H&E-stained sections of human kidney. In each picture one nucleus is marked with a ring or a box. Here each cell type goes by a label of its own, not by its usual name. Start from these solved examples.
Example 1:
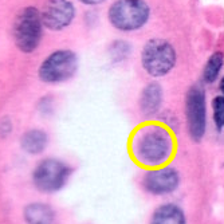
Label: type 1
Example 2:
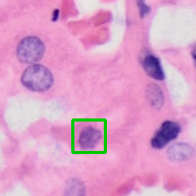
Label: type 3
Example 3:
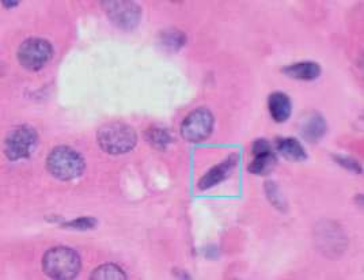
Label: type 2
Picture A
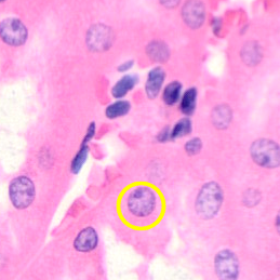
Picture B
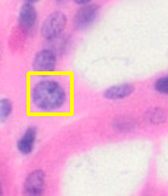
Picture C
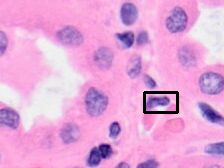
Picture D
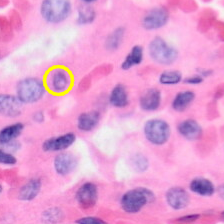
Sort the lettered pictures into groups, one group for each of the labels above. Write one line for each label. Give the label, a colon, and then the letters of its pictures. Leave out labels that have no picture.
type 1: B, D
type 3: A
type 2: C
